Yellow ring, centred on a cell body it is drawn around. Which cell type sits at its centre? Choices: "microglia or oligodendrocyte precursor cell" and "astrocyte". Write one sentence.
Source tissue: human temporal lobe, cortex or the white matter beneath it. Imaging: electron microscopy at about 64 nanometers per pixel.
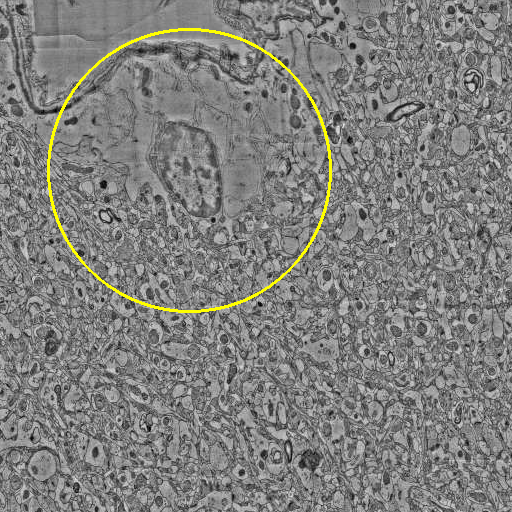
At the centre of the ring sits a microglial cell or oligodendrocyte precursor cell.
